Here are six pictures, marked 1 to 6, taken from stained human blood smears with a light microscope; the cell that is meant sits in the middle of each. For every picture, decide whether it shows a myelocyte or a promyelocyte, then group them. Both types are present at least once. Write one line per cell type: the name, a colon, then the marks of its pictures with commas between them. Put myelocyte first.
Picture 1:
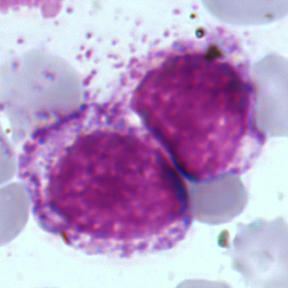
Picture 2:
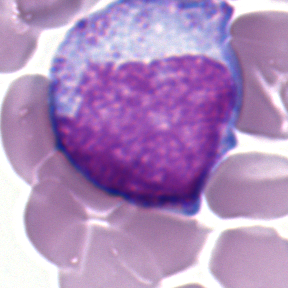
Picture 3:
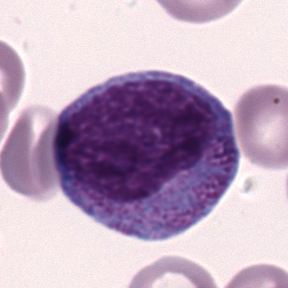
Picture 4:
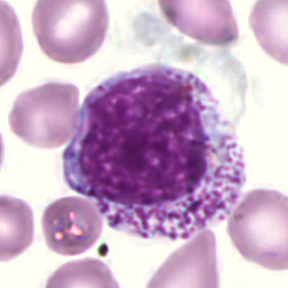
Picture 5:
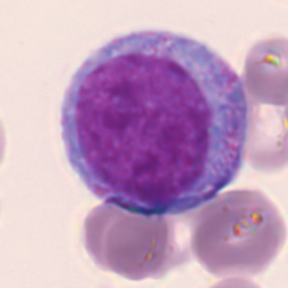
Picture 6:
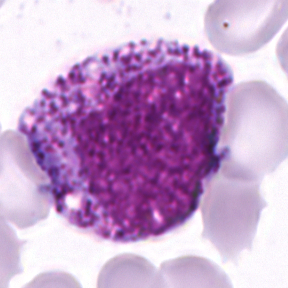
myelocyte: 1, 4
promyelocyte: 2, 3, 5, 6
